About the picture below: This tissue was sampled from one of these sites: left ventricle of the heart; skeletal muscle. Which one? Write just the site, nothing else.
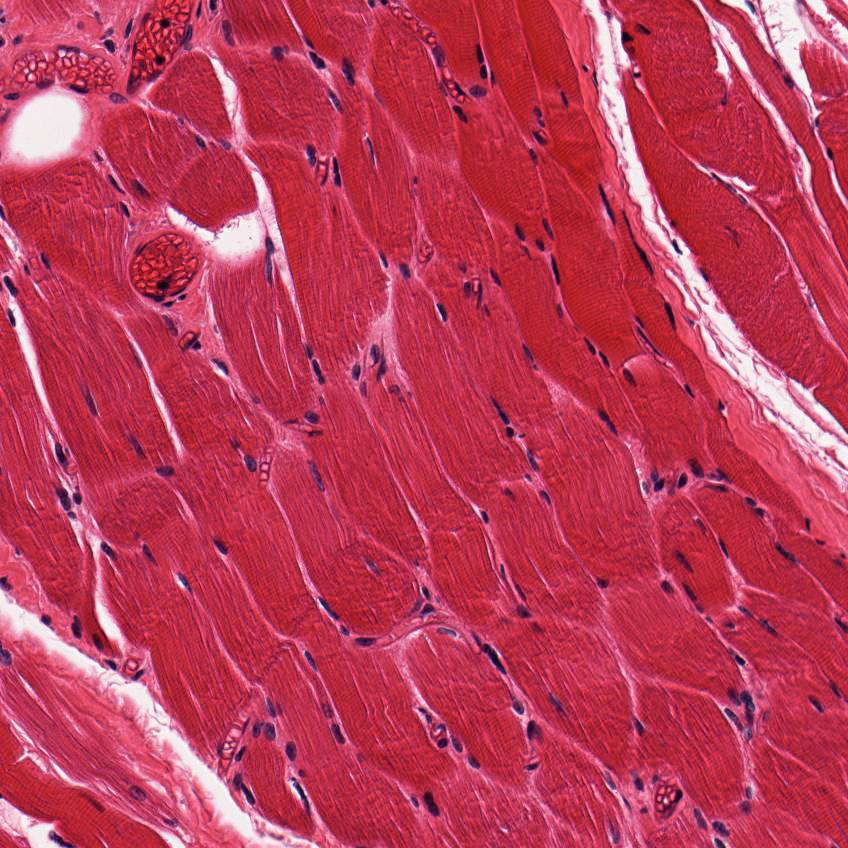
skeletal muscle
